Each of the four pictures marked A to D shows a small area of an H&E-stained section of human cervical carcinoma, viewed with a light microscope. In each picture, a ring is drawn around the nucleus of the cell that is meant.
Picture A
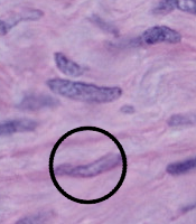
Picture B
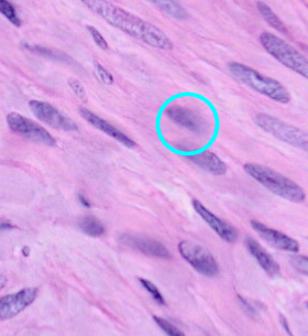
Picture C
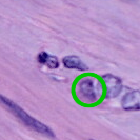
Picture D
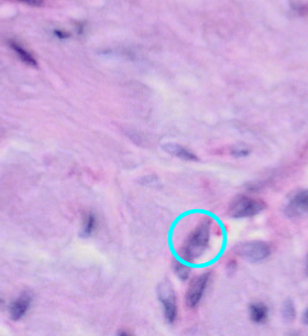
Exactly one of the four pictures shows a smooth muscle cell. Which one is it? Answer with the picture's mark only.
A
